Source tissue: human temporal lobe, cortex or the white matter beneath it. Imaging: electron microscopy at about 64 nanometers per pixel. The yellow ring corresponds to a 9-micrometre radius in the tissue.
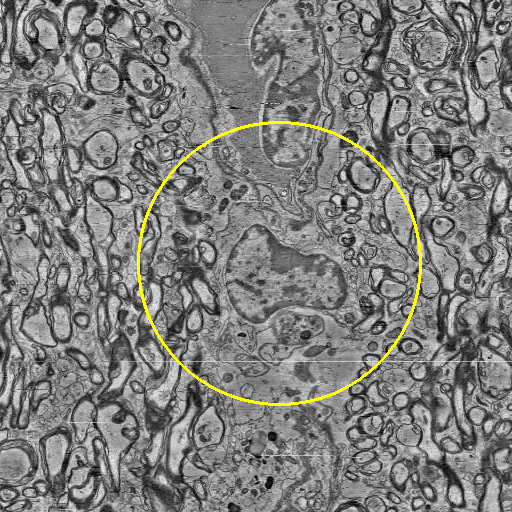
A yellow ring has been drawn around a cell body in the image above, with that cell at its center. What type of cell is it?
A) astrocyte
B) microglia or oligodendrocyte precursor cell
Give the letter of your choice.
B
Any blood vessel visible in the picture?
Yes, one shows.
